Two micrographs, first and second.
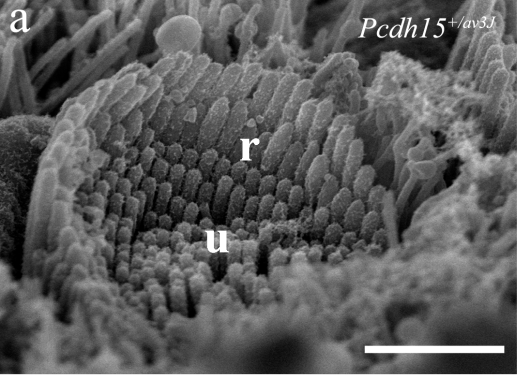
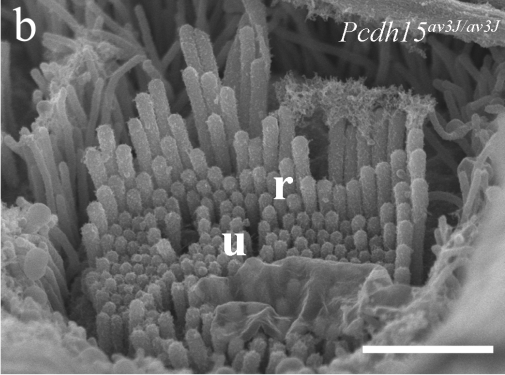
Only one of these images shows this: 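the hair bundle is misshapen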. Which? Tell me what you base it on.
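The second image. Second image: the projections form an irregular bundle with tall ones clustered at the edges around short ones. First image: the projections form smooth curved rows rising in orderly steps of height.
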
